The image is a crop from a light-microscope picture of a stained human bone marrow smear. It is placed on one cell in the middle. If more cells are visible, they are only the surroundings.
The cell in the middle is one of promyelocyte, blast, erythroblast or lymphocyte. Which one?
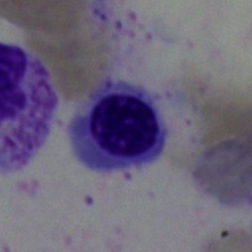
erythroblast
